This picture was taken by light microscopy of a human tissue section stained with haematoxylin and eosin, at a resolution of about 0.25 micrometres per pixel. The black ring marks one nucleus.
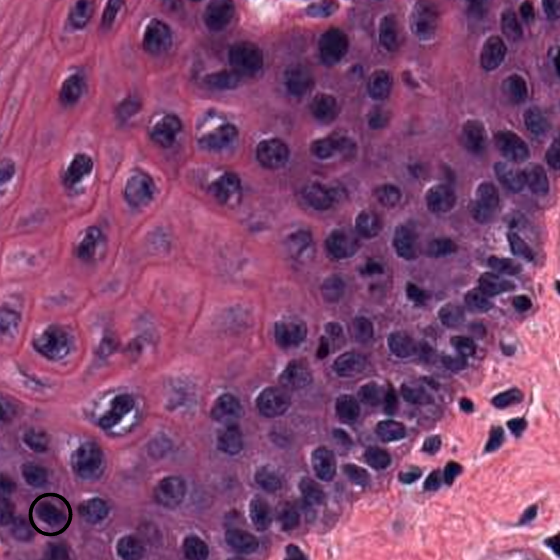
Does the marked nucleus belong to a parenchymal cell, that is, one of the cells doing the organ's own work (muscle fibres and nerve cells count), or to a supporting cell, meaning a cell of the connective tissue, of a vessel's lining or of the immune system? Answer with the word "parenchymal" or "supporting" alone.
parenchymal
